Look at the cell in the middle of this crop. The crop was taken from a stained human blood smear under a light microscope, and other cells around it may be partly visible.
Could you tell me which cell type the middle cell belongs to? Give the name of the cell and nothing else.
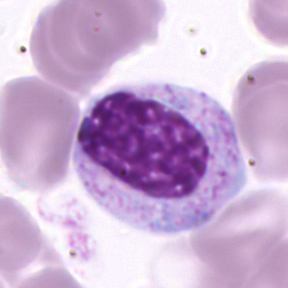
metamyelocyte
